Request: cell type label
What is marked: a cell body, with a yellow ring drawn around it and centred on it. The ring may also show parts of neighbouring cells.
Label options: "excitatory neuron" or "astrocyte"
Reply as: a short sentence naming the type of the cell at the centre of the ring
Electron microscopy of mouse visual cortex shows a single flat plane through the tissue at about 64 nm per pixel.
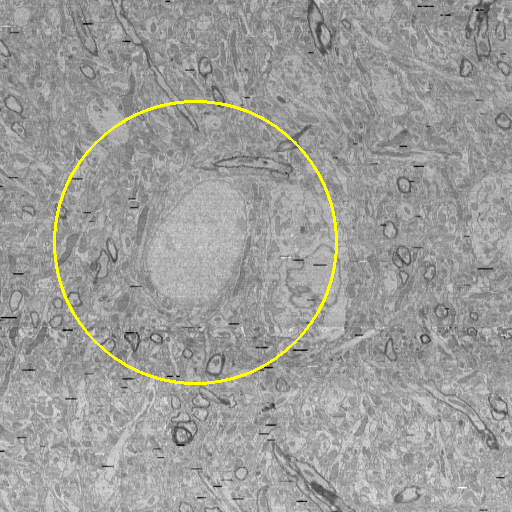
The marked cell body is that of an astrocyte.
